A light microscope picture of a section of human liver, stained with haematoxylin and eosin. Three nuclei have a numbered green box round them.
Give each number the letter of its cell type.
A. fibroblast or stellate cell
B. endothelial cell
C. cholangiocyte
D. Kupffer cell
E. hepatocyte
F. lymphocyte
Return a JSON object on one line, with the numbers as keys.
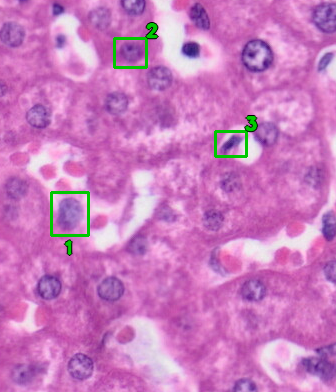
{"1": "B", "2": "E", "3": "B"}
